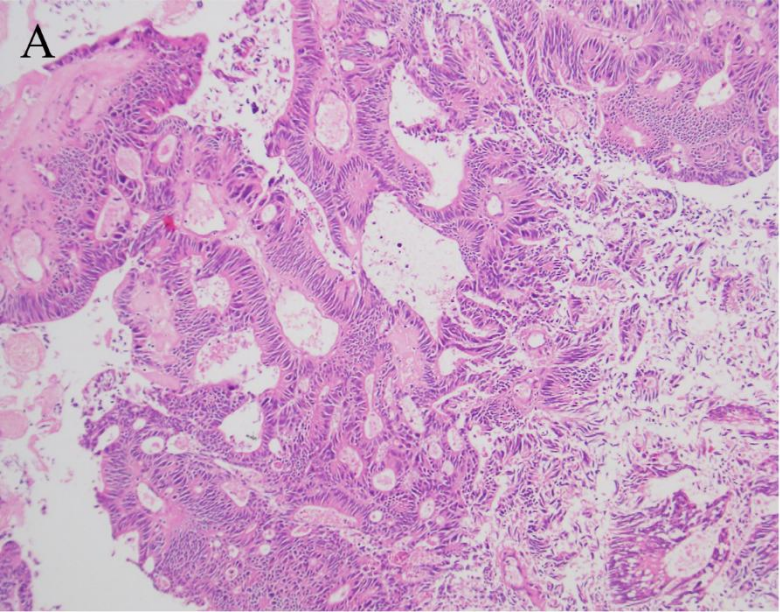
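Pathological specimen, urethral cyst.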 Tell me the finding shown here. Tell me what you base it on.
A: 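Irregular, crowded glands lined by columnar cells with elongated, stacked nuclei. Small round gland lumina lie within solid epithelial sheets, giving a cribriform look.
Hence: intestinal-type adenocarcinoma.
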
